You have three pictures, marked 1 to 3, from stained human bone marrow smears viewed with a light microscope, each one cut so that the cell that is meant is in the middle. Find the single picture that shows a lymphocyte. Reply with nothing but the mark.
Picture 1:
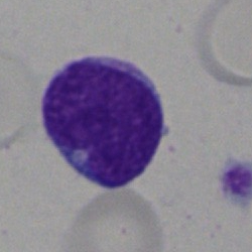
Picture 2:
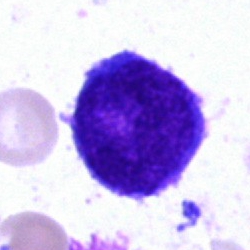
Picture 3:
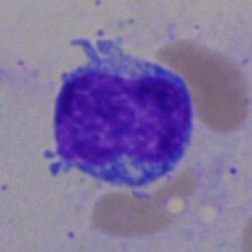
1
